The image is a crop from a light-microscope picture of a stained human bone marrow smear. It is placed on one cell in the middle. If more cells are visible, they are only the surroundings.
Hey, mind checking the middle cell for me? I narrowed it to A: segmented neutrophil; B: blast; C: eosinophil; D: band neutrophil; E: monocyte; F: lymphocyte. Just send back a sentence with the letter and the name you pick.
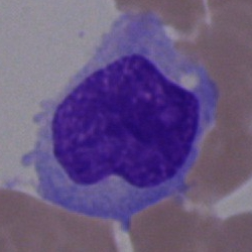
The correct option is E, as the central cell is a monocyte.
